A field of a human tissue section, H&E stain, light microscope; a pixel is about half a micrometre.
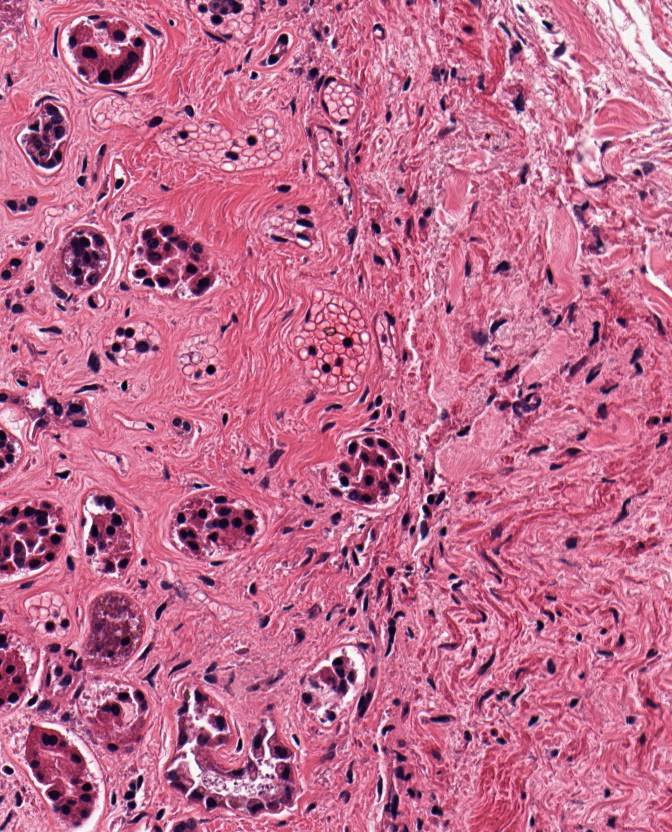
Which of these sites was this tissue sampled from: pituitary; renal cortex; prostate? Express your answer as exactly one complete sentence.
It is the renal cortex from which this tissue was sampled.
